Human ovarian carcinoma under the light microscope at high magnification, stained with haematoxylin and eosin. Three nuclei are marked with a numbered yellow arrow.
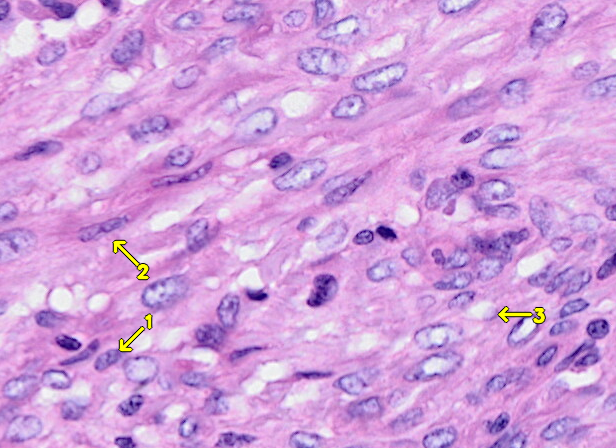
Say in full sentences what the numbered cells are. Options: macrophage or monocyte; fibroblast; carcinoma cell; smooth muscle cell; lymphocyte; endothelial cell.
Cell 1 is a macrophage or monocyte, cell 2 is a fibroblast and cell 3 is a fibroblast.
